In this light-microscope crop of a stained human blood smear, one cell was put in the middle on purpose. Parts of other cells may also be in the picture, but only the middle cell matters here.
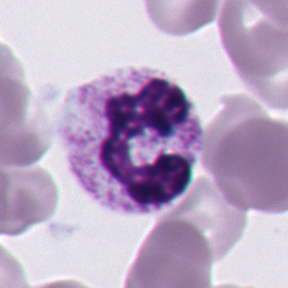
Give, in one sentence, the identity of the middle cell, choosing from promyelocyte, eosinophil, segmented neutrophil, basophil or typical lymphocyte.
The central cell shown in this smear crop is a segmented neutrophil.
